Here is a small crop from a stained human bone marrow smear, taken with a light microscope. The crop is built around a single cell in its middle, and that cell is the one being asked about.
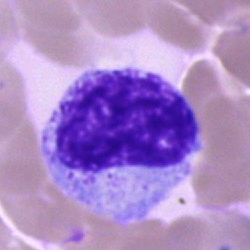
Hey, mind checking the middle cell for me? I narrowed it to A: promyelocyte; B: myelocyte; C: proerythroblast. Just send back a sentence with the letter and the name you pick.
The correct option is B, as the central cell is a myelocyte.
